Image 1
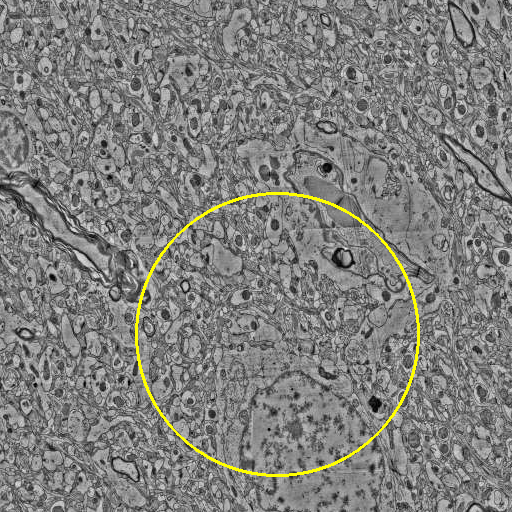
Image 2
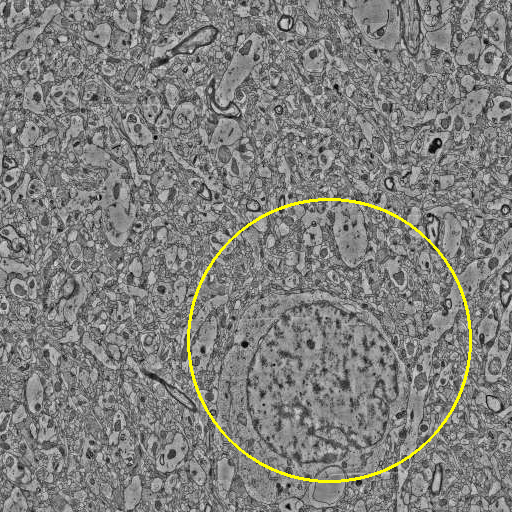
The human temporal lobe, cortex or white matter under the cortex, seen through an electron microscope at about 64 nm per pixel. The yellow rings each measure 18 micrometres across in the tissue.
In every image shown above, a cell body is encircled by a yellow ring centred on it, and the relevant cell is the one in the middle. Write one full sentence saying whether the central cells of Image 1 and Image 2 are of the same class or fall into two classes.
The cell at the ring's centre in Image 1 and its counterpart in Image 2 fall into two classes.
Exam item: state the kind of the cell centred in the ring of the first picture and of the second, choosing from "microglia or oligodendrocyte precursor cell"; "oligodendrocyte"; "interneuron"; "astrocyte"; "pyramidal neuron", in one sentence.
The first picture shows an oligodendrocyte at the ring centre and the second shows an interneuron.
